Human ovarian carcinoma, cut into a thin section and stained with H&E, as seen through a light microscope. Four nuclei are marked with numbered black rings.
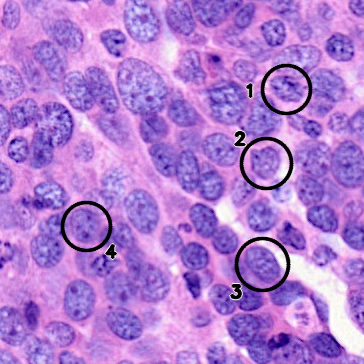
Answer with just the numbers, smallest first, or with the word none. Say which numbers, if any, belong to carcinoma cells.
2, 3, 4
